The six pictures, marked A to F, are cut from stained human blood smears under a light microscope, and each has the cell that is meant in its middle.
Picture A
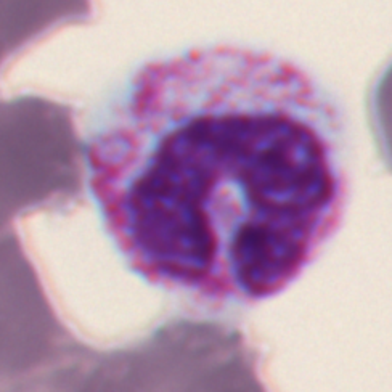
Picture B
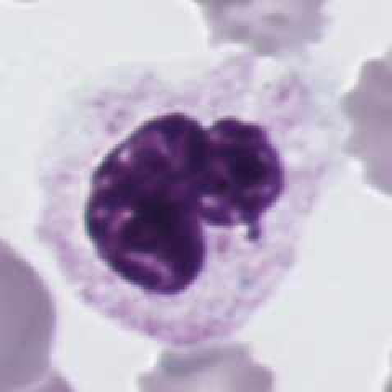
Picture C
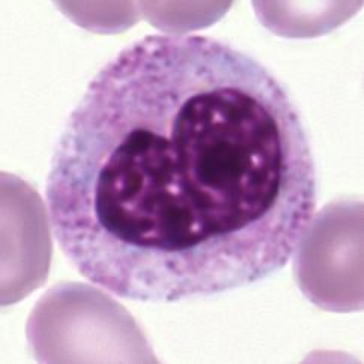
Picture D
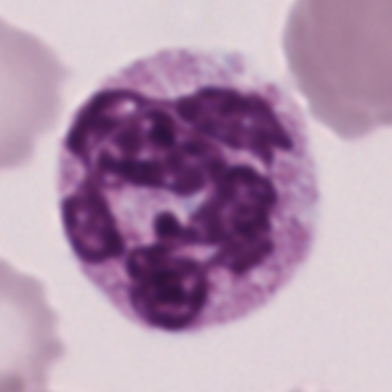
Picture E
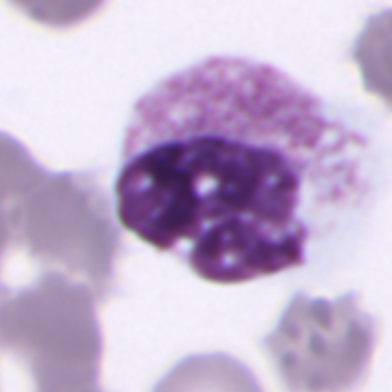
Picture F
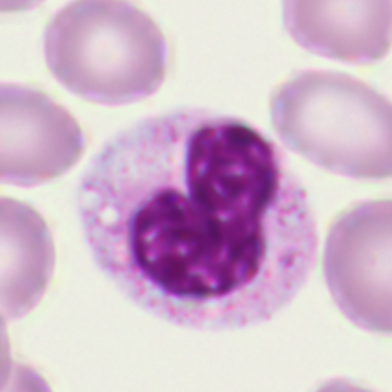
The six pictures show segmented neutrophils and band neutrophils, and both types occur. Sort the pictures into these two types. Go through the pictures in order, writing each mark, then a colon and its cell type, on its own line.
A: segmented neutrophil
B: segmented neutrophil
C: band neutrophil
D: segmented neutrophil
E: segmented neutrophil
F: band neutrophil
